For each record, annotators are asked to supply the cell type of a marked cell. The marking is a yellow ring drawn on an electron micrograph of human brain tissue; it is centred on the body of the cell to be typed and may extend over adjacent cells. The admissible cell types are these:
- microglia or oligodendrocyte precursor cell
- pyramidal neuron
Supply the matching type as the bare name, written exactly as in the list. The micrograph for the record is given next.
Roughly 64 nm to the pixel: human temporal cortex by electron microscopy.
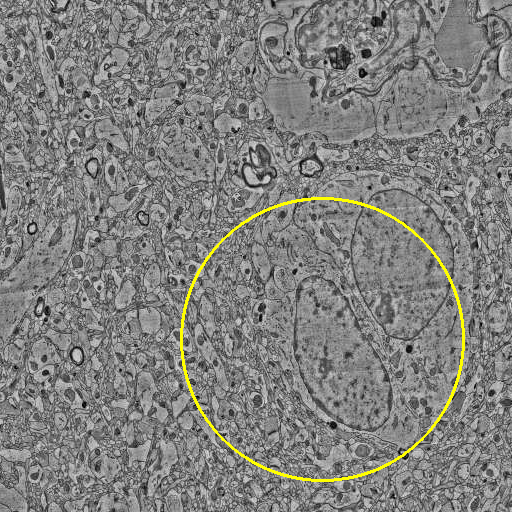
microglia or oligodendrocyte precursor cell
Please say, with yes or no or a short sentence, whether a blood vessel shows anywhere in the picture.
Yes, a vessel shows somewhere in the image.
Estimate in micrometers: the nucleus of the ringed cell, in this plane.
The nucleus of the ringed cell is clearly longer than it is wide in this plane, about 11 by 5 micrometres.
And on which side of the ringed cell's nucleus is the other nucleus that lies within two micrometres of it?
The other nucleus lies above it.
